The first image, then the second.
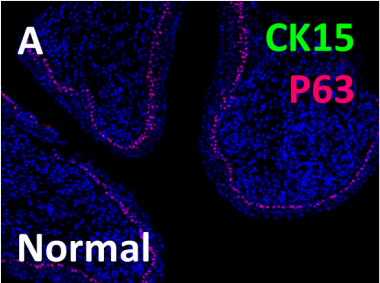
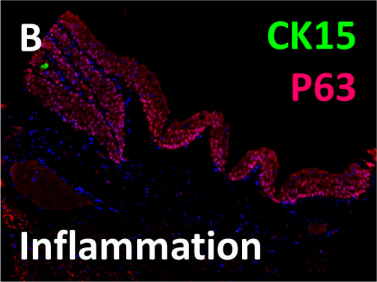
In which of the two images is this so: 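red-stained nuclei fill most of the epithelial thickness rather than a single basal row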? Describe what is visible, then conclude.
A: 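Second image: the epithelial band is red throughout its thickness. First image: red nuclei form only a thin single row at one edge of the epithelium, the rest blue. On this evidence: the second image.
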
